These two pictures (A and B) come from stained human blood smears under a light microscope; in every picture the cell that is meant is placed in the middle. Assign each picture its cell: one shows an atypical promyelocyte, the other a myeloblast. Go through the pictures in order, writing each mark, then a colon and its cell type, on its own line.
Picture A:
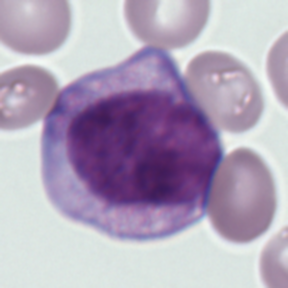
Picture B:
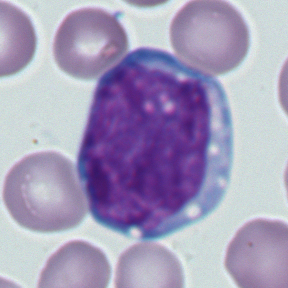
A: atypical promyelocyte
B: myeloblast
